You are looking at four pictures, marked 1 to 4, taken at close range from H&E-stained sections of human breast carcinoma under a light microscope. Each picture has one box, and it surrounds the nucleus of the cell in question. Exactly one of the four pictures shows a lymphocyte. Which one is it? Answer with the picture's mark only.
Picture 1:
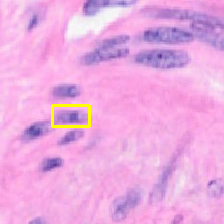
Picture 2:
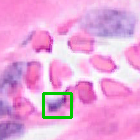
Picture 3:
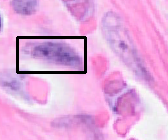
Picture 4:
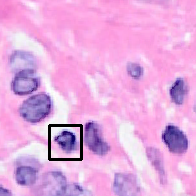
4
